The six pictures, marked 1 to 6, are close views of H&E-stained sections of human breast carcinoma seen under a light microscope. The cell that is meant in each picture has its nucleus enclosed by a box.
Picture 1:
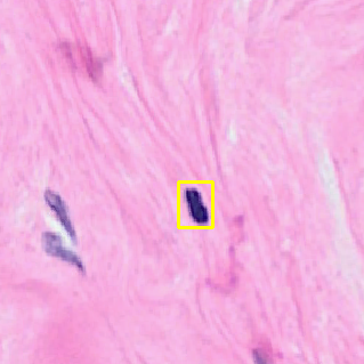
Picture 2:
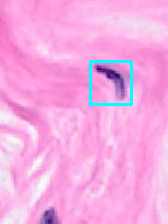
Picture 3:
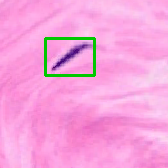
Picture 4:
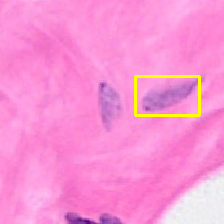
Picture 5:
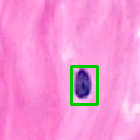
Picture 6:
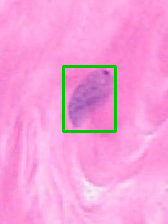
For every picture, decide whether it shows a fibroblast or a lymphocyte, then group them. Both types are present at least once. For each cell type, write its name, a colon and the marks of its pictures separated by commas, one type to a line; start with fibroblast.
fibroblast: 2, 3, 4, 6
lymphocyte: 1, 5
